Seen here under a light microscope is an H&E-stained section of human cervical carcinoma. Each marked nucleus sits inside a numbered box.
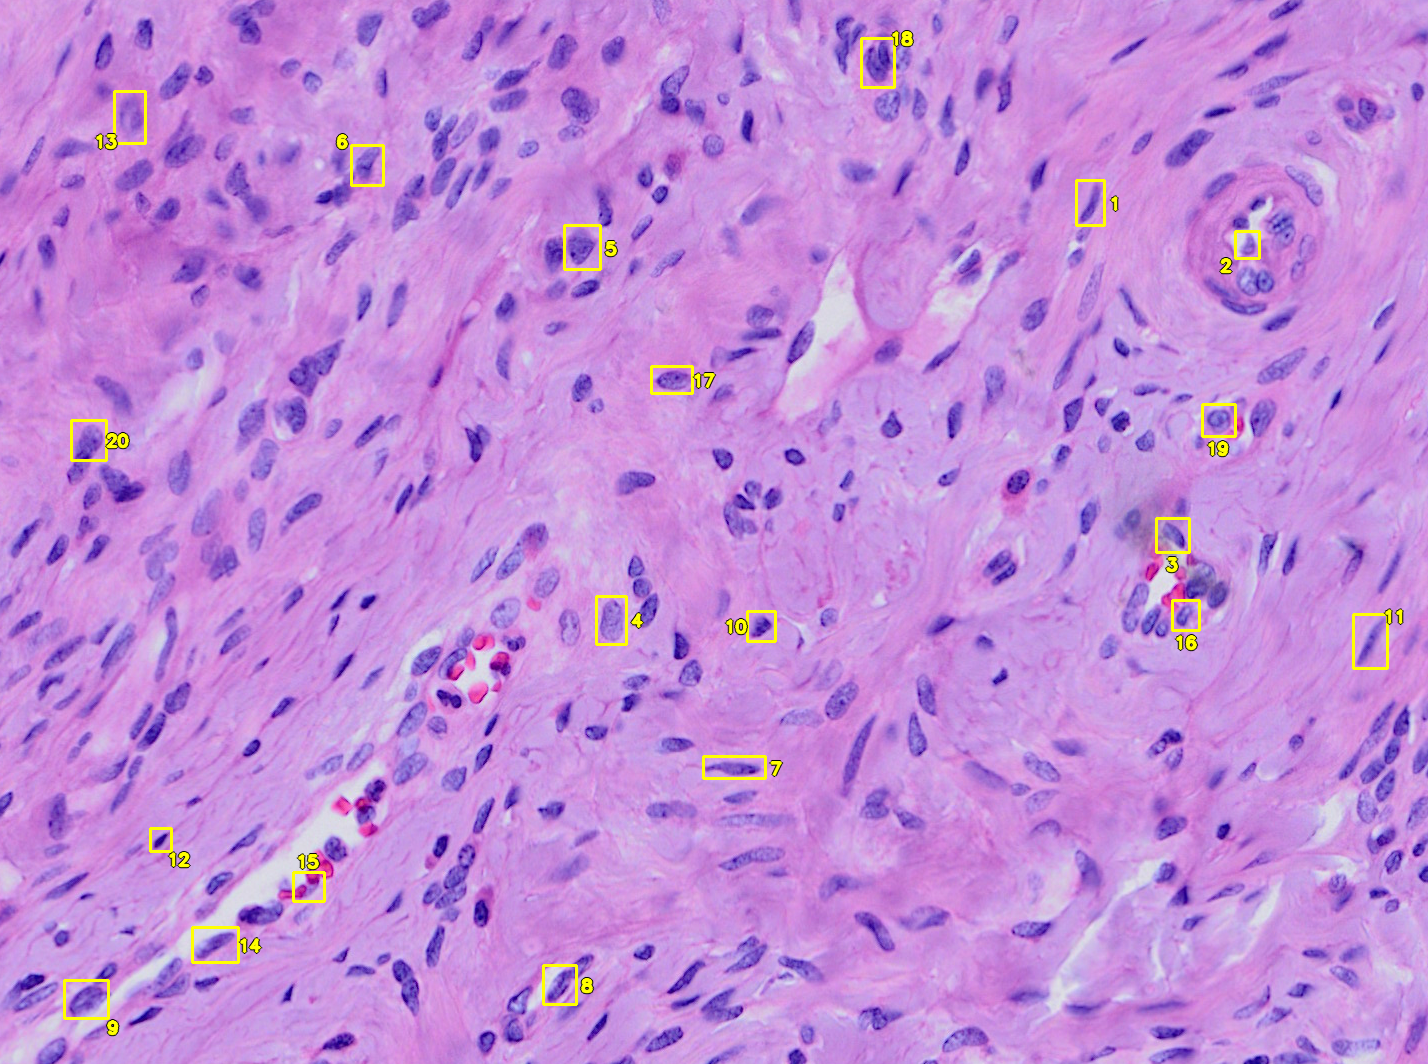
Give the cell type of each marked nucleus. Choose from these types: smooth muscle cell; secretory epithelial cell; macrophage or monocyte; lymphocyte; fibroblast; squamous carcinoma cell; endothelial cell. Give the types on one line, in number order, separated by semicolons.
fibroblast; endothelial cell; endothelial cell; fibroblast; fibroblast; fibroblast; fibroblast; endothelial cell; endothelial cell; fibroblast; fibroblast; fibroblast; fibroblast; endothelial cell; endothelial cell; endothelial cell; fibroblast; endothelial cell; endothelial cell; fibroblast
